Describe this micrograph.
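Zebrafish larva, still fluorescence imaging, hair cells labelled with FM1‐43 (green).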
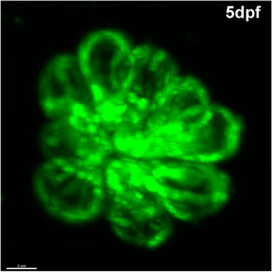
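Around ten pear-shaped cells are packed tightly together in a rosette-like cluster. Their narrow ends converge toward the center, while their broad bodies point outward. The green signal outlines each cell's membrane and fills its cytoplasm unevenly, so the cell bodies appear as rounded compartments with darker centers. Nothing in the image suggests disrupted or fragmented cells.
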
